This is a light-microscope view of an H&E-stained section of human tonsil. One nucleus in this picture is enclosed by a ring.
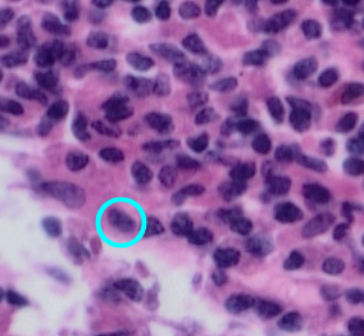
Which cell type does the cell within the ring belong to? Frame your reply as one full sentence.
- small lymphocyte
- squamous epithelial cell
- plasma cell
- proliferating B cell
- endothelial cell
What the cell within the ring represents is an endothelial cell.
